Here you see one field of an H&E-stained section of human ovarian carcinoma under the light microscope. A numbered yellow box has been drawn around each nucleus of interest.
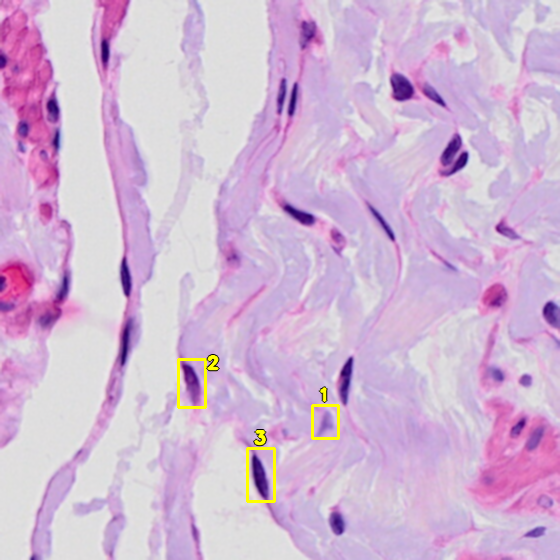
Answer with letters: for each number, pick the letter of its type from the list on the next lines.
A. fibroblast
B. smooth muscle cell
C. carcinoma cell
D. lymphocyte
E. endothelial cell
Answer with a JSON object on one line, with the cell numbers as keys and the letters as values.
{"1": "A", "2": "A", "3": "E"}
